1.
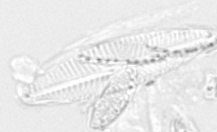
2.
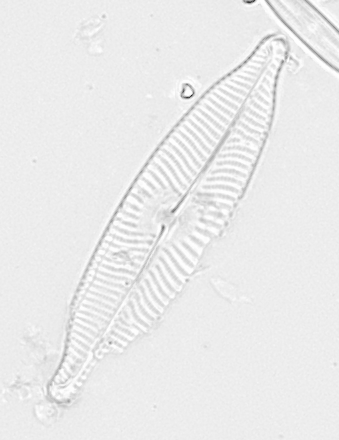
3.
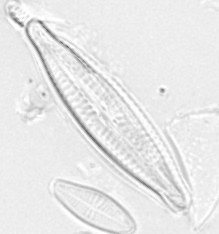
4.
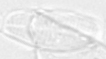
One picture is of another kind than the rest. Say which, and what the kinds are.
Picture 4 shows Achnanthidium; the rest show Navicula.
